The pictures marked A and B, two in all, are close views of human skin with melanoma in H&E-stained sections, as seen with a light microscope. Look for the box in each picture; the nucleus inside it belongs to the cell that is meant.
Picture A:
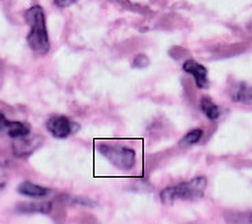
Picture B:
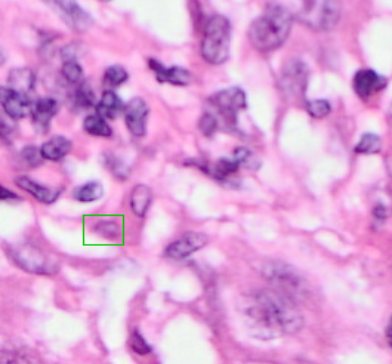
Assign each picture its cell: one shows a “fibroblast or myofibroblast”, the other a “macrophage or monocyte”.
A: fibroblast or myofibroblast
B: macrophage or monocyte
